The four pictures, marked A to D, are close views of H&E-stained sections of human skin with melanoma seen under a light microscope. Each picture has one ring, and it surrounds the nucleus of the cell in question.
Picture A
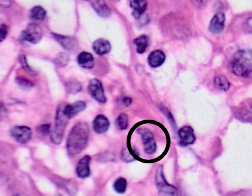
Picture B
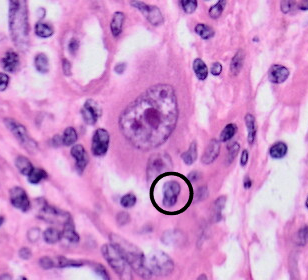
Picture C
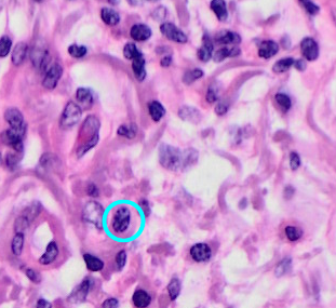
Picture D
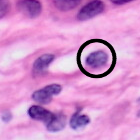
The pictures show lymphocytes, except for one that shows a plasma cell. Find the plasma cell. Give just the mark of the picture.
C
